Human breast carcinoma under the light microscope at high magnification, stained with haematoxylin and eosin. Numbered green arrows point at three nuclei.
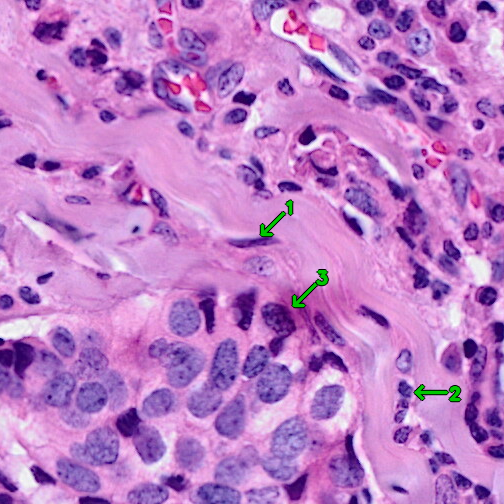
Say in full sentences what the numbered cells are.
Cell 1 is a fibroblast, cell 2 is a lymphocyte and cell 3 is a carcinoma cell.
